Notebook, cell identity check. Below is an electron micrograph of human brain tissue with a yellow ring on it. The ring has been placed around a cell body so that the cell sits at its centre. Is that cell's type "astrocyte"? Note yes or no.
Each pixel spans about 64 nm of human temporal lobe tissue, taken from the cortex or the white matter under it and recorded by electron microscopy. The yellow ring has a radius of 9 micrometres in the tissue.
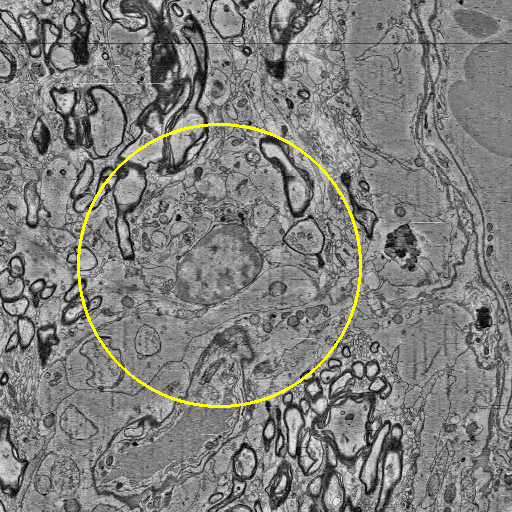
No, its cell type is another one.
